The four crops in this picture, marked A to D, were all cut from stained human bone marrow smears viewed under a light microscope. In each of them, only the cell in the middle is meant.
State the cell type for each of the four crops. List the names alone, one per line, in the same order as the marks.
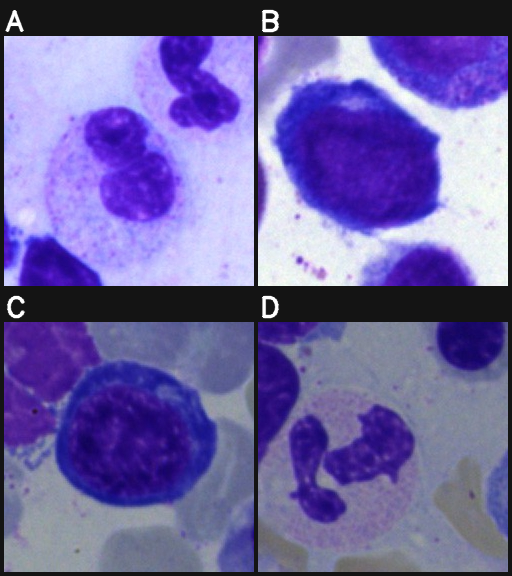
band neutrophil
proerythroblast
proerythroblast
segmented neutrophil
